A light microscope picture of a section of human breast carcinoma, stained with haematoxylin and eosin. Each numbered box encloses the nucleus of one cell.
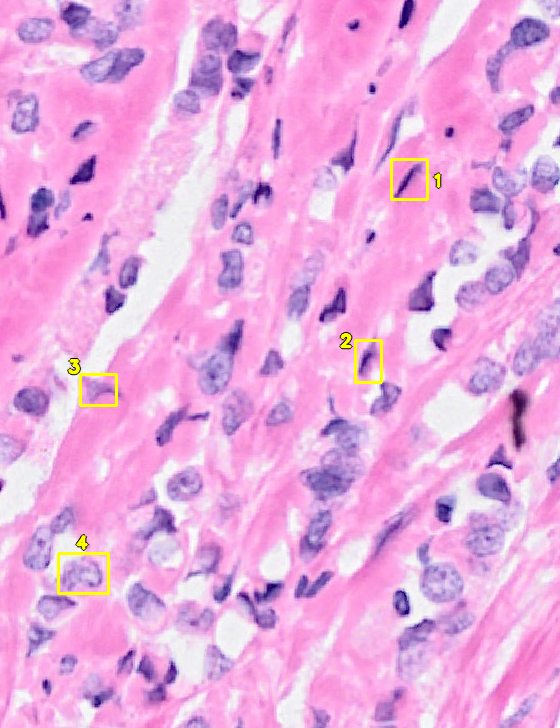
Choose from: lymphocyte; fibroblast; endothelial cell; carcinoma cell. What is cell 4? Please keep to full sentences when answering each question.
The numbered cell 4 is identified here as a carcinoma cell.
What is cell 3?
The cell identified by the number 3 is a fibroblast.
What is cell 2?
What the number 2 marks in this field is a fibroblast.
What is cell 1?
The cell carrying label 1 is identified as a fibroblast.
